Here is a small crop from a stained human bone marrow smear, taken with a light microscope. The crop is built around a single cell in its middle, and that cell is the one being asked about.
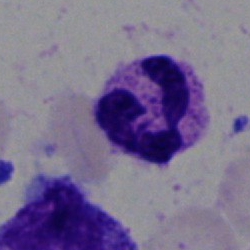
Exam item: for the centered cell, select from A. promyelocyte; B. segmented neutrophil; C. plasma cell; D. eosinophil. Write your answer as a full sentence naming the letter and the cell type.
The best answer is option B, since the cell in the middle is a segmented neutrophil.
